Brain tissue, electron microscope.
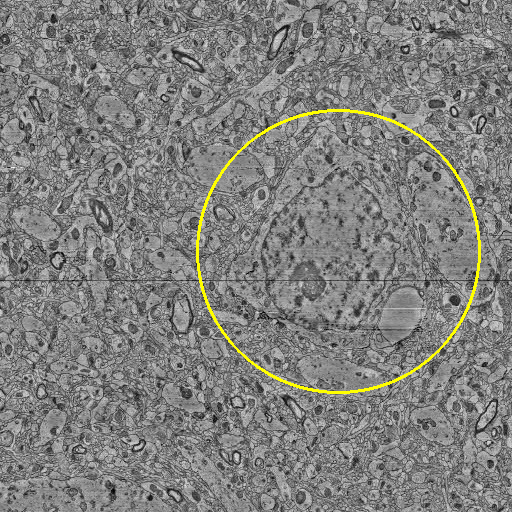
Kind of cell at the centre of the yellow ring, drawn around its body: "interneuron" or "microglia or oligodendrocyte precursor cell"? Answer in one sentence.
The ring's centre falls on an interneuron.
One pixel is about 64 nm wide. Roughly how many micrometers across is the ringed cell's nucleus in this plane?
About 10 by 8 micrometers for the nucleus, in this plane.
